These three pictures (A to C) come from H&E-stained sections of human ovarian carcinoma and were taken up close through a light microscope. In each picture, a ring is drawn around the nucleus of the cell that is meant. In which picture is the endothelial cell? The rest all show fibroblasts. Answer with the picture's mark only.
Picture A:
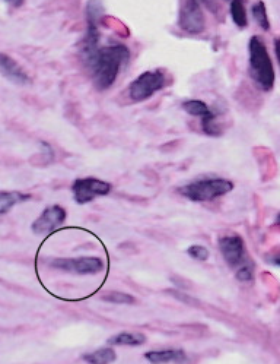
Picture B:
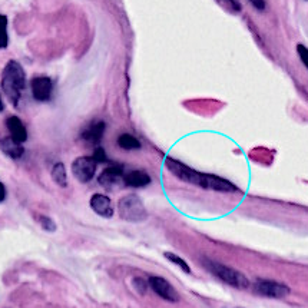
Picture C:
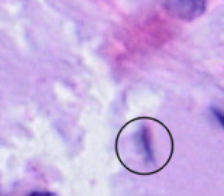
B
